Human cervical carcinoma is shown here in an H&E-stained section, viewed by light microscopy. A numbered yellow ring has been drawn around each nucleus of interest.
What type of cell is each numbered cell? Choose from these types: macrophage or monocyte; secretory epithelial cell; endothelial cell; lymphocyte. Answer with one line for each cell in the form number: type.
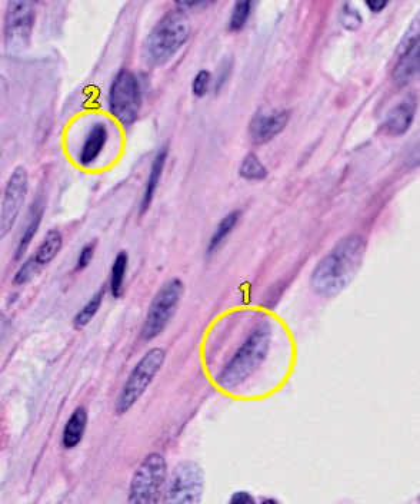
1: endothelial cell
2: lymphocyte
